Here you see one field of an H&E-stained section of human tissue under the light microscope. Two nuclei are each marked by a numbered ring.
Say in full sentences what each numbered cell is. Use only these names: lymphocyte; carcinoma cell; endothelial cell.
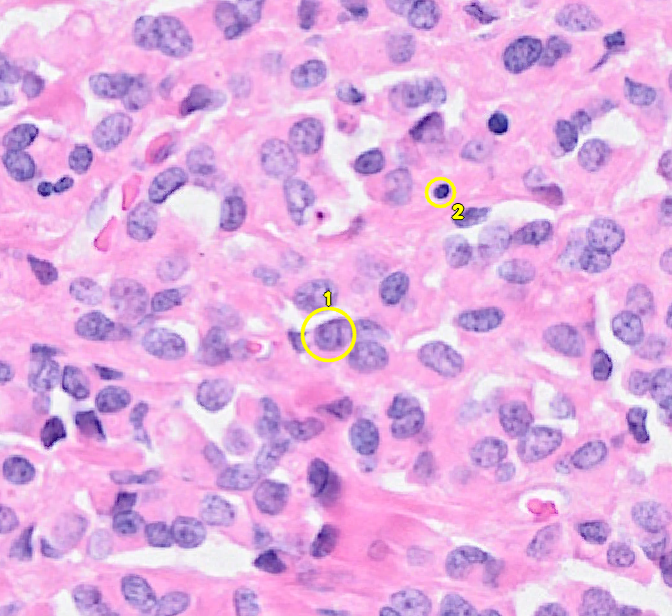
Cell 1 is a carcinoma cell and cell 2 is a lymphocyte.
